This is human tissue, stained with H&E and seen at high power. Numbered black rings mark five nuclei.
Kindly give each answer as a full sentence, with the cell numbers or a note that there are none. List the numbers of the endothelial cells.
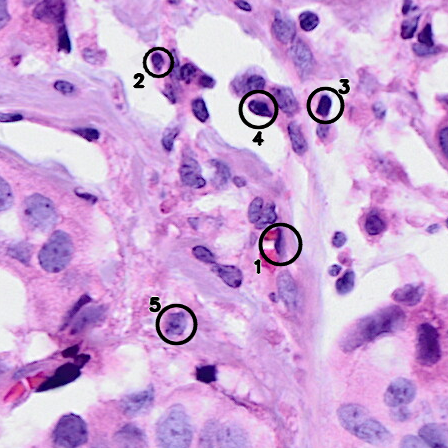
Cell 1 is an endothelial cell and is the only numbered cell of that kind.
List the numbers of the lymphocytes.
The cells with labels 2, 3 and 4 are lymphocytes.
